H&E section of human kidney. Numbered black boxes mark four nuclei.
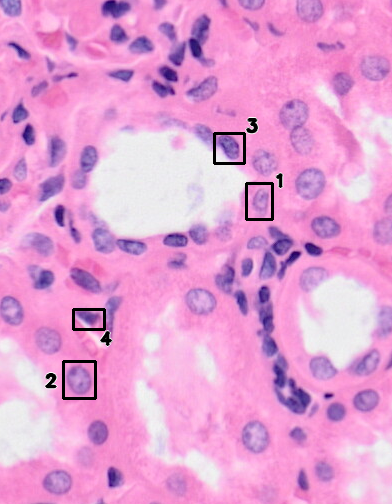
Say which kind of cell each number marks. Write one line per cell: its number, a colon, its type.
1: loop of Henle or distal tubule cell
2: proximal tubule cell
3: loop of Henle or distal tubule cell
4: endothelial cell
